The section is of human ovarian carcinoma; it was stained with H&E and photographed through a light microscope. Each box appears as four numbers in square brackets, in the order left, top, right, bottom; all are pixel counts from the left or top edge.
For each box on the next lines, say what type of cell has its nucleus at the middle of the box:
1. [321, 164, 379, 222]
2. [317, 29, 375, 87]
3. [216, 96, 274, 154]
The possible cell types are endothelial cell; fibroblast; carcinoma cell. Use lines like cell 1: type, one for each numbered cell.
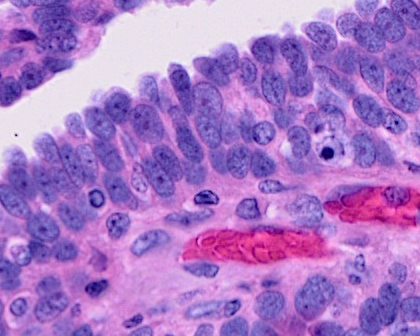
cell 1: endothelial cell
cell 2: carcinoma cell
cell 3: carcinoma cell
